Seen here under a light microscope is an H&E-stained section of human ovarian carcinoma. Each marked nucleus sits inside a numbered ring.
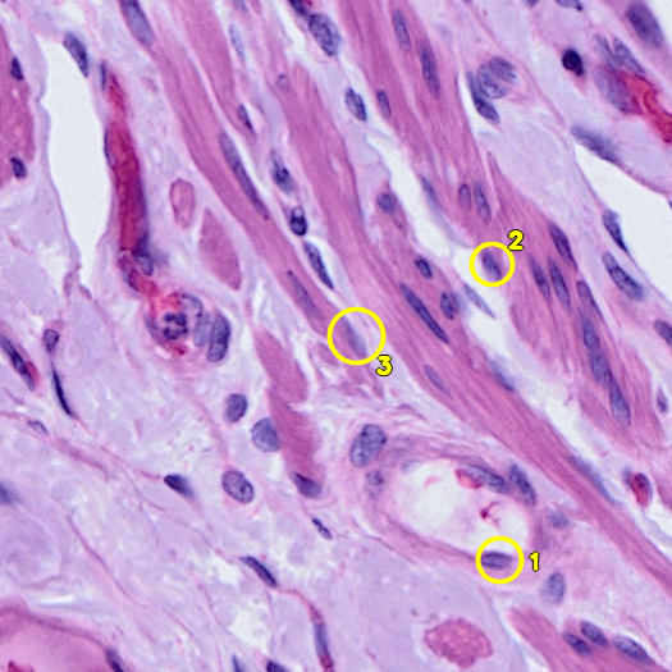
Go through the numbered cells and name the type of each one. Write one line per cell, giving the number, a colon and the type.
1: endothelial cell
2: smooth muscle cell
3: smooth muscle cell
